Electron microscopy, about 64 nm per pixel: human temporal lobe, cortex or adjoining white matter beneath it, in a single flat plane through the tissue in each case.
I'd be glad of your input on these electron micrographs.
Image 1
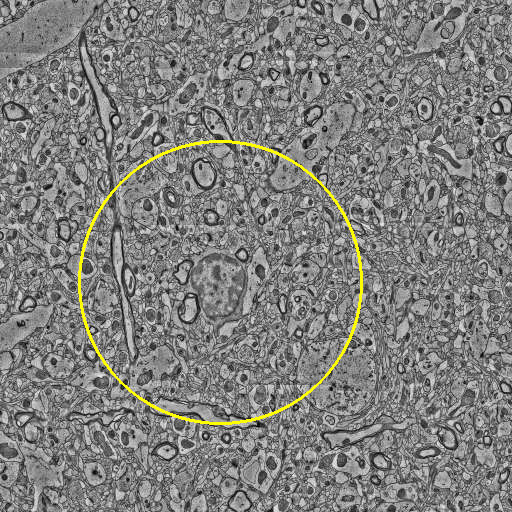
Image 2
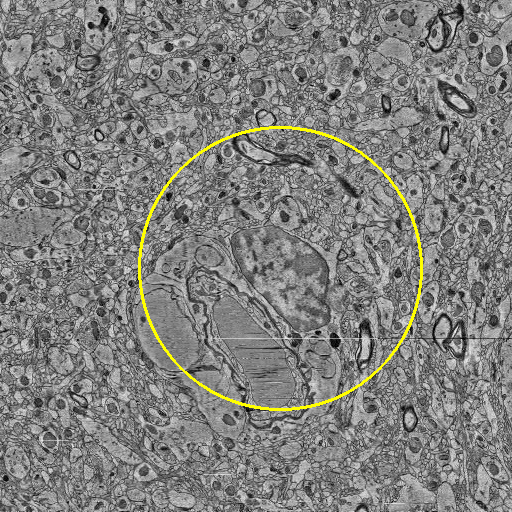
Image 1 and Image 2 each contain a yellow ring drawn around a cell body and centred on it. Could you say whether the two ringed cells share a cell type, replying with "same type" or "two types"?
two types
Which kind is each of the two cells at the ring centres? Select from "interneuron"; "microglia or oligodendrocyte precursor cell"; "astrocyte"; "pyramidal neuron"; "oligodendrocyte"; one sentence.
The cell at the centre of the ring is an oligodendrocyte in the first picture and a microglial cell or oligodendrocyte precursor cell in the second.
